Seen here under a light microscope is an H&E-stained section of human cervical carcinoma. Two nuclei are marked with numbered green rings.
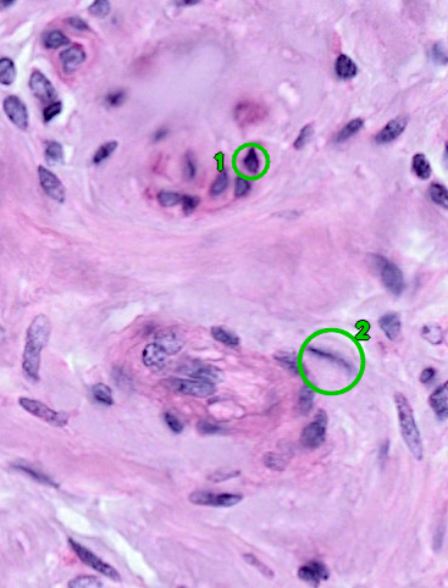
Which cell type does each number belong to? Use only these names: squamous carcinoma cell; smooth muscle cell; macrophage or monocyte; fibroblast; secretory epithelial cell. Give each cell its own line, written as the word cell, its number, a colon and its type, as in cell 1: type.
cell 1: smooth muscle cell
cell 2: fibroblast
